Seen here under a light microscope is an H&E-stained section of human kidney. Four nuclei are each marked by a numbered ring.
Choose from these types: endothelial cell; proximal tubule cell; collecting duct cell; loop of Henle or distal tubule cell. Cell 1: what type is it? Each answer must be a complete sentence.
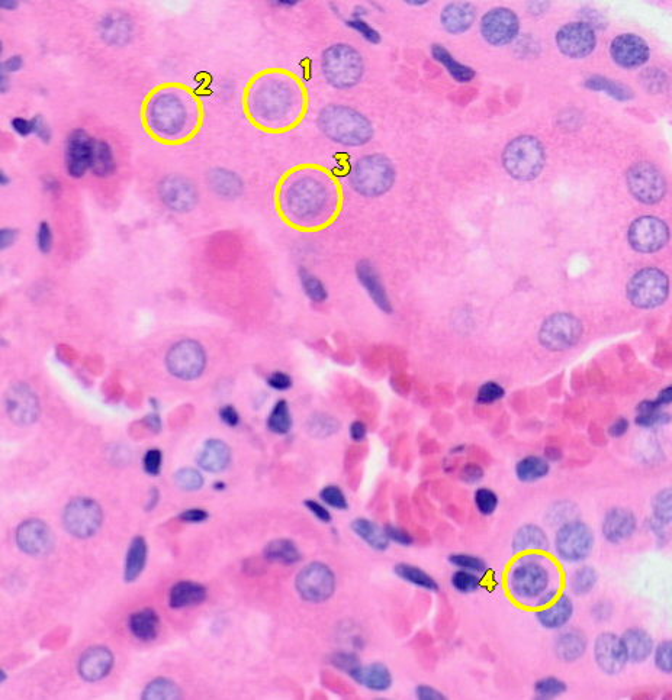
The cell with the number 1 is a proximal tubule cell.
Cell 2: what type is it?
The numeral 2 marks a proximal tubule cell in this section.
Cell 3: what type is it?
Identified as a proximal tubule cell is the cell bearing the number 3.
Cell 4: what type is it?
It is as a collecting duct cell that the cell numbered 4 is identified.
